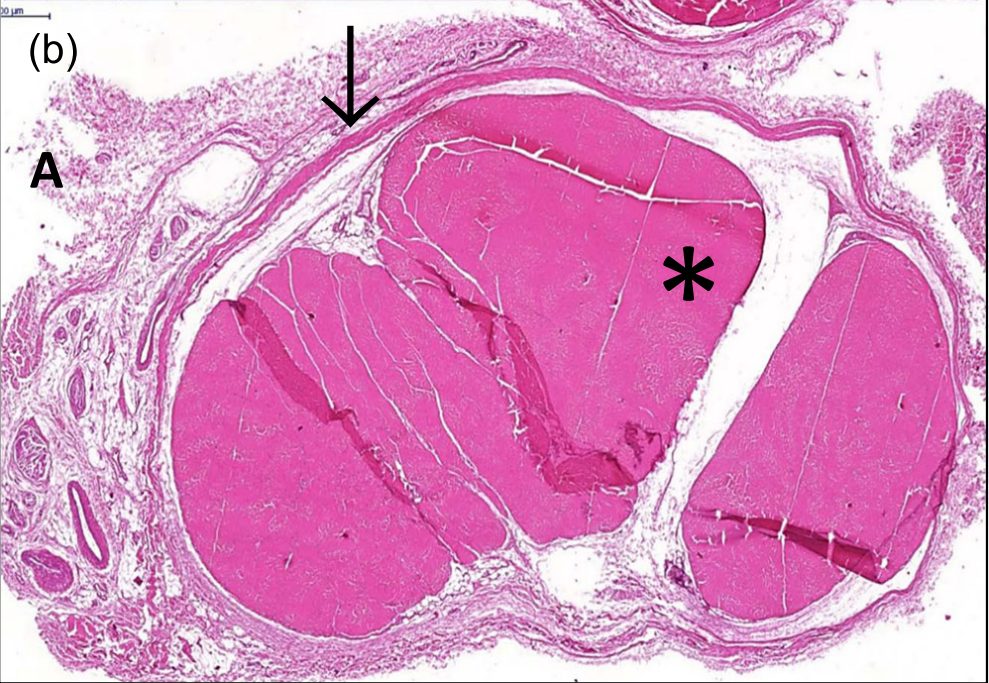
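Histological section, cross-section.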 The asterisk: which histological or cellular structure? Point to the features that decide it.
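The asterisk lies on one of several large, rounded, densely pink bundles. The bundles are separated from one another by pale, loose septa. Each bundle is made of closely packed fibres in cross-section. So: fascicles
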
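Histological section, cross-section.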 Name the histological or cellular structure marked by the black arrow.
tendon sheath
